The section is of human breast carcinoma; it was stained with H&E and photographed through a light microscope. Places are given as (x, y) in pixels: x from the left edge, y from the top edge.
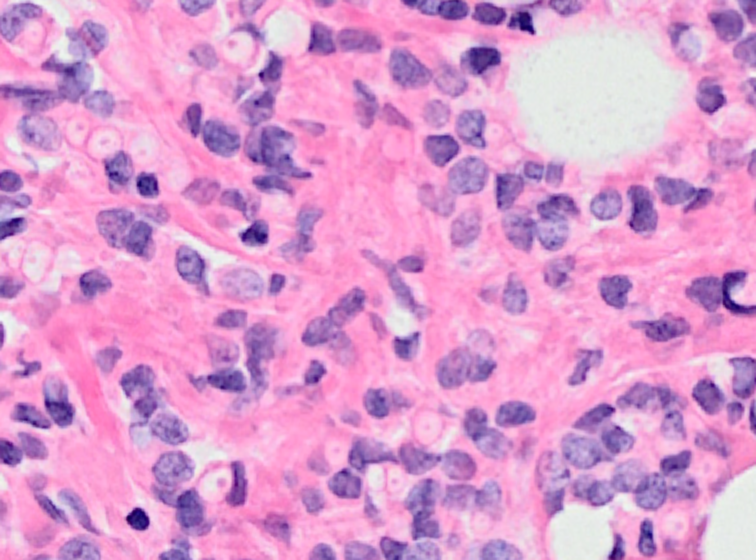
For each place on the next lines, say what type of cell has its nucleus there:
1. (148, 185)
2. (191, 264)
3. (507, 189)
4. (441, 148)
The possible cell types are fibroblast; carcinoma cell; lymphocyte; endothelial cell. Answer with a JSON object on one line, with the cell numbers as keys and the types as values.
{"1": "lymphocyte", "2": "carcinoma cell", "3": "carcinoma cell", "4": "carcinoma cell"}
